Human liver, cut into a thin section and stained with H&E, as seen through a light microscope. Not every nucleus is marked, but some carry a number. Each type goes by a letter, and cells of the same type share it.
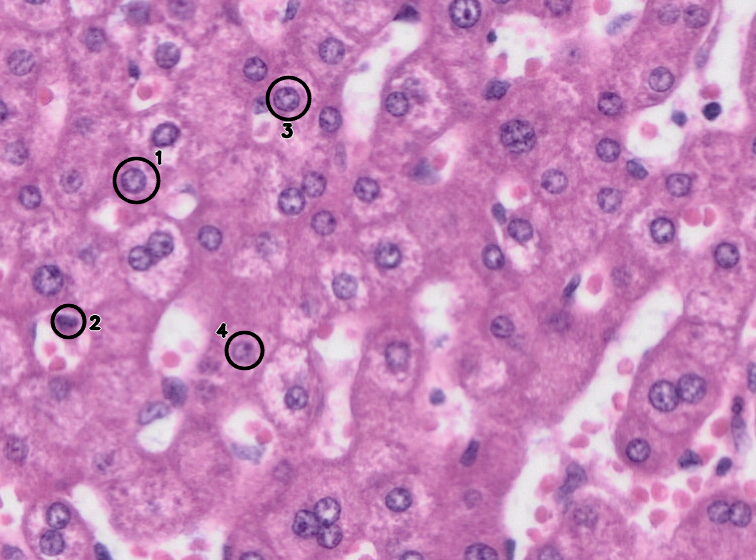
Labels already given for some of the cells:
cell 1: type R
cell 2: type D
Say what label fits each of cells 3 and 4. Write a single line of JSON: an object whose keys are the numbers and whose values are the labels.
{"3": "type R", "4": "type R"}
